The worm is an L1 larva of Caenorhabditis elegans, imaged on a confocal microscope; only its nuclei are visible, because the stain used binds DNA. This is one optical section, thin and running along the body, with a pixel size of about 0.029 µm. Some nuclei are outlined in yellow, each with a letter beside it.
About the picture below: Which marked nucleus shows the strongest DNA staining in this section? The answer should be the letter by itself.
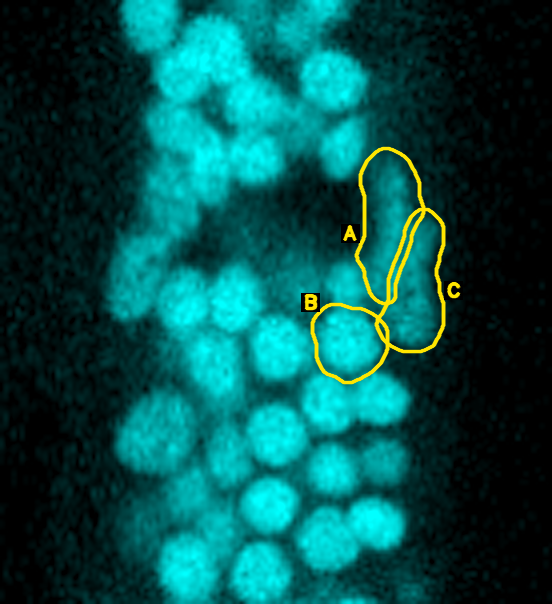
B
